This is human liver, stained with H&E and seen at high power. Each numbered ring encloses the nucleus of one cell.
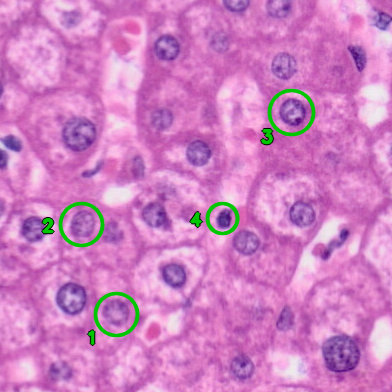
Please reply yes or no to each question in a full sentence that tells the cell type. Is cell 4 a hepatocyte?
No, for cell 4, the correct identification is a lymphocyte instead of a hepatocyte.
